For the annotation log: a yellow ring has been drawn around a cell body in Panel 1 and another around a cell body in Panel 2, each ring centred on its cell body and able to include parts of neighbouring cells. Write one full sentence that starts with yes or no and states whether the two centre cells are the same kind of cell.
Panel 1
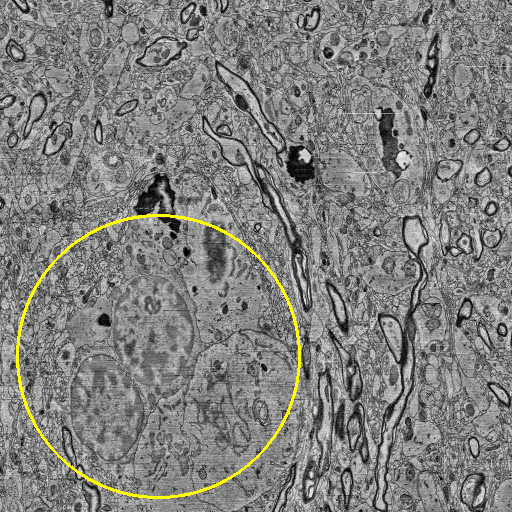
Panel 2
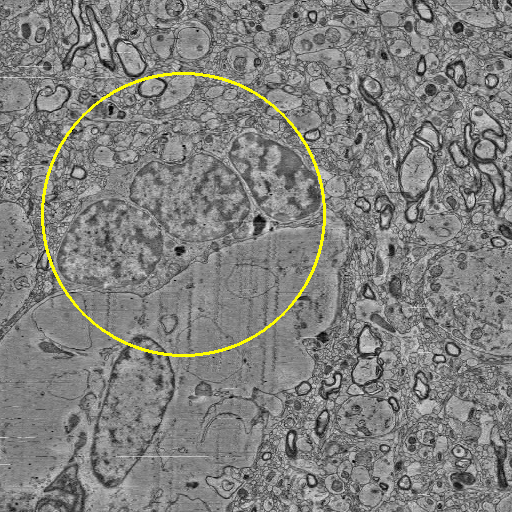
Yes, the two centre cells are the same kind of cell.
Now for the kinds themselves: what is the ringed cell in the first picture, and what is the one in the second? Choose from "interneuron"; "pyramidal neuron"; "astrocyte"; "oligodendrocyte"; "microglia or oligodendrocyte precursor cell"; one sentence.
Each of the two pictures has an oligodendrocyte at the ring centre.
